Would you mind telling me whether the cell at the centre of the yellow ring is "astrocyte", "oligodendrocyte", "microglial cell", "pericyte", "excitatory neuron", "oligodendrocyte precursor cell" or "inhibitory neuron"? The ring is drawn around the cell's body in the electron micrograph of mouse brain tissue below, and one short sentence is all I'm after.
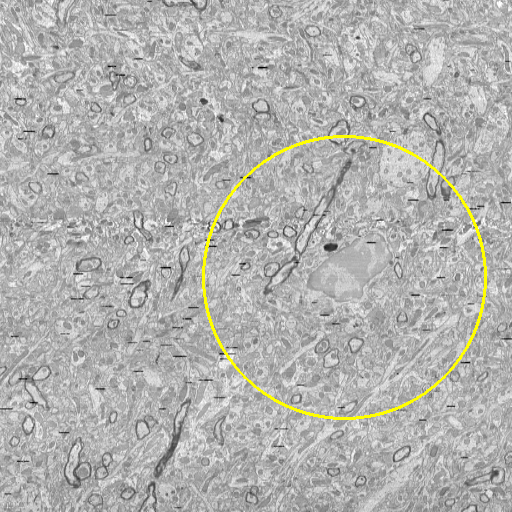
In the centre of the ring lies a microglial cell.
